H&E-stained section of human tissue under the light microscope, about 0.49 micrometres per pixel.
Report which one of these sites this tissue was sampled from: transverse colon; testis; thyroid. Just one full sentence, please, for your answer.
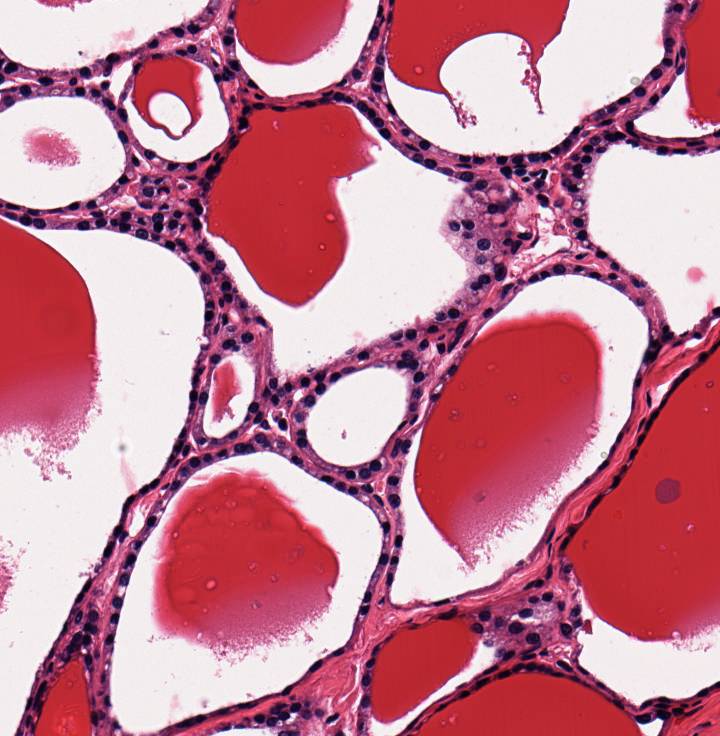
Tissue of the thyroid was sampled to make this section.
